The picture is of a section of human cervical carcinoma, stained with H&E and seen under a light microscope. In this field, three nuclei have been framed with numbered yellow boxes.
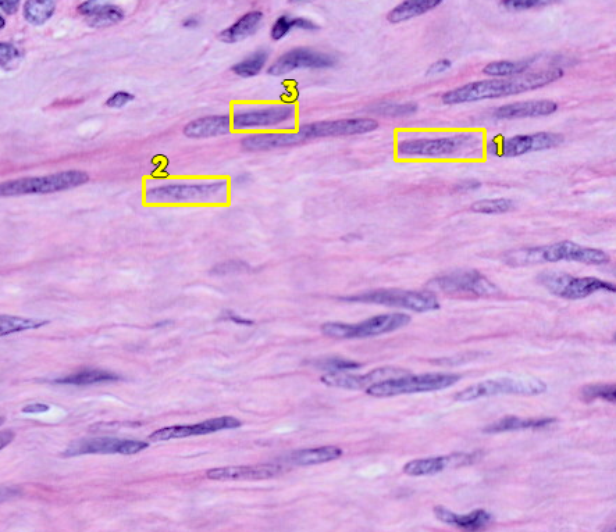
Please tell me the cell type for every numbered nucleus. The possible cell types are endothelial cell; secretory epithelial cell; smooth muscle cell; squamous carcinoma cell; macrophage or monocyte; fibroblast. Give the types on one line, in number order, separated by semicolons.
smooth muscle cell; fibroblast; smooth muscle cell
